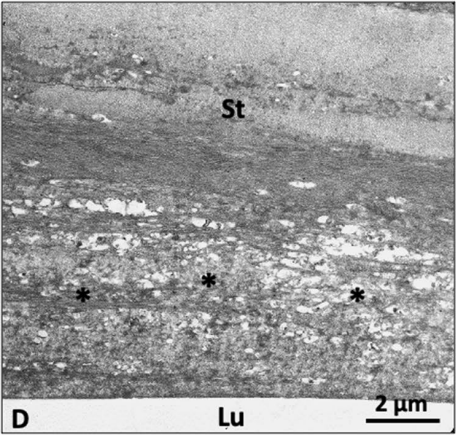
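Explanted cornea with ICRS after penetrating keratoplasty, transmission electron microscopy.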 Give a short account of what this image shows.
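The upper stroma keeps its layered lamellar look, but the zone toward the lumen is riddled with many small clear vacuoles. These vacuoles give the fibrotic band a spongy, bubbly texture quite unlike normal stroma.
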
